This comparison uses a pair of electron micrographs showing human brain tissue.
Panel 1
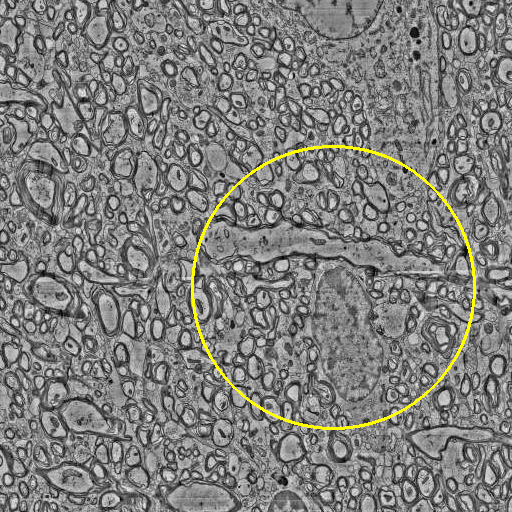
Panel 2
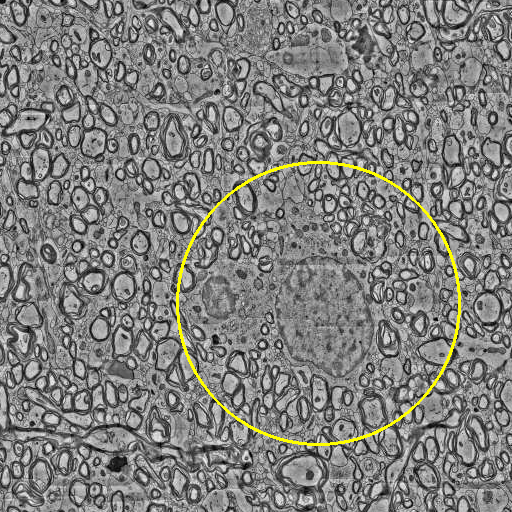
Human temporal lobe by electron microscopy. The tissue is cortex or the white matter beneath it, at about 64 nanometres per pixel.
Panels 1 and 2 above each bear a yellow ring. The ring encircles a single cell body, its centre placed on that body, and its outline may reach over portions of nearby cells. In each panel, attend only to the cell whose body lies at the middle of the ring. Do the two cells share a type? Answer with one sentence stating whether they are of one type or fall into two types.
In Panel 1 and Panel 2, the cells at the centres of the rings are of one type.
